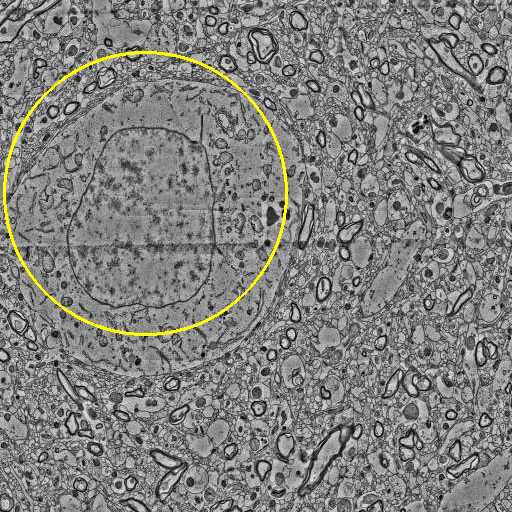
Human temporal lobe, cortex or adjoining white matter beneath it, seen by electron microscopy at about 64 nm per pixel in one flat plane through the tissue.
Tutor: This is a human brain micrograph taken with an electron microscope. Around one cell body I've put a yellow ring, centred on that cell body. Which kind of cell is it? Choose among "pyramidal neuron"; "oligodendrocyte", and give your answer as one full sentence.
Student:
Going by your list, the cell centred in the yellow ring is a pyramidal neuron.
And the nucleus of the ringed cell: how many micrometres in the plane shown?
The ringed cell's nucleus measures approximately 12 by 10 micrometres in this plane.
